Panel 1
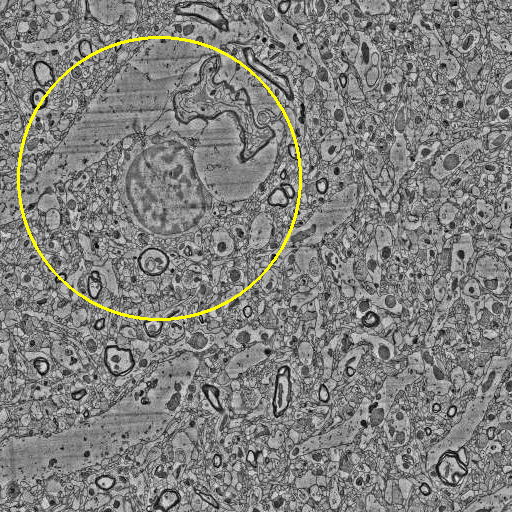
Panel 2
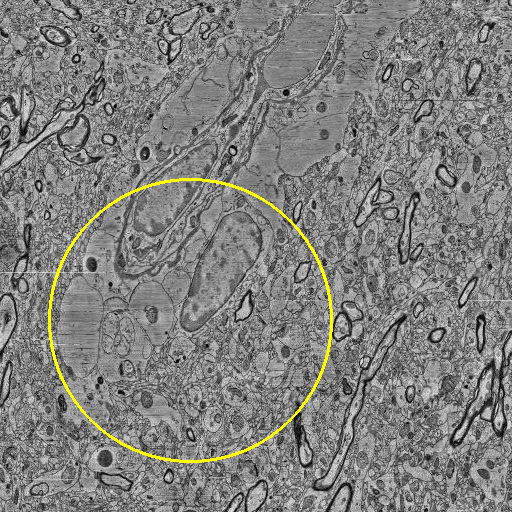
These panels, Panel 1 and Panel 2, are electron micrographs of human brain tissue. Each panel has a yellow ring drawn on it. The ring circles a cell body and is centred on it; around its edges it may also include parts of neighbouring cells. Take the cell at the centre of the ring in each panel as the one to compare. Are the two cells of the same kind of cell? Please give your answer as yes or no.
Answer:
no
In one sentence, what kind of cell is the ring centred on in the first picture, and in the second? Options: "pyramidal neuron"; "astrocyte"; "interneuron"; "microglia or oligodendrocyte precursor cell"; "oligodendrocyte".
The cell at the centre of the second ring is a microglial cell or oligodendrocyte precursor cell; the first ring's cell is an oligodendrocyte.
